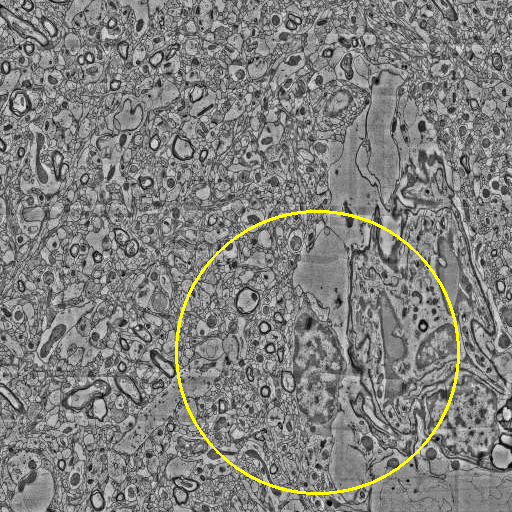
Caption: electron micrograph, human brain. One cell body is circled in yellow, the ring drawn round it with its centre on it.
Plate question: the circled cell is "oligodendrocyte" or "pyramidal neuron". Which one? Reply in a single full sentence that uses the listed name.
The yellow ring on the plate is centred on an oligodendrocyte, going by the listed names.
